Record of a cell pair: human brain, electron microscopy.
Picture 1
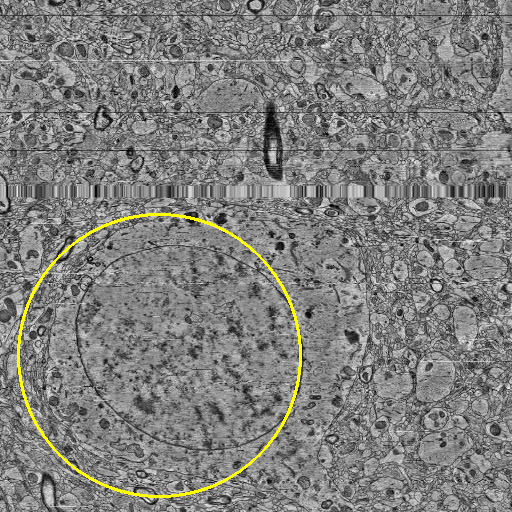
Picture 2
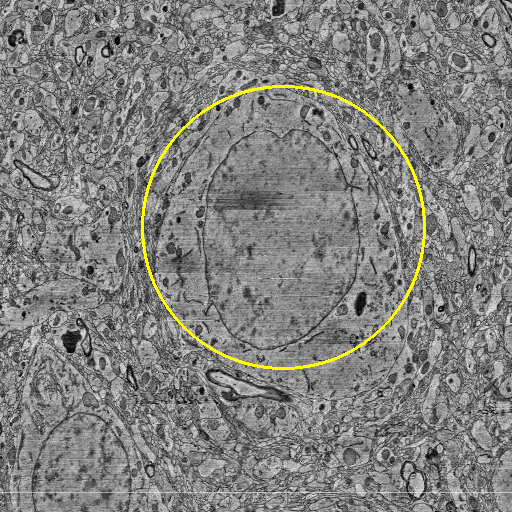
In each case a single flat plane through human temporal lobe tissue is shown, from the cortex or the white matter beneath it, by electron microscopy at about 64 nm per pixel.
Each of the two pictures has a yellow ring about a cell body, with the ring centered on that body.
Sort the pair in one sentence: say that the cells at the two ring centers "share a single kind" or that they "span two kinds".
The cells centered in the rings of Pictures 1 and 2 share a single kind.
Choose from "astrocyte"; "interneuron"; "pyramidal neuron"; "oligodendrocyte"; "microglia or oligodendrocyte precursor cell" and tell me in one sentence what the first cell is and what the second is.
Each one of the two ringed cells is a pyramidal neuron.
